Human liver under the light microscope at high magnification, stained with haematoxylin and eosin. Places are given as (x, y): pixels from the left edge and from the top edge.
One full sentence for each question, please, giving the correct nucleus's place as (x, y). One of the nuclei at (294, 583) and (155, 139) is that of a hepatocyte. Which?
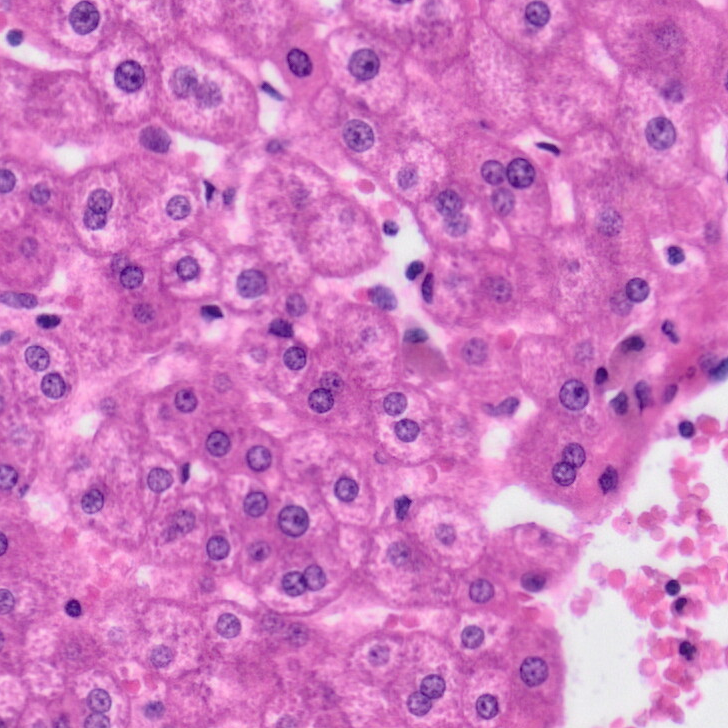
The nucleus whose cell is a hepatocyte is the one at (294, 583).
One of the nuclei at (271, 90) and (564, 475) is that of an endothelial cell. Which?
Here the nucleus at (271, 90) is the one that belongs to an endothelial cell.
